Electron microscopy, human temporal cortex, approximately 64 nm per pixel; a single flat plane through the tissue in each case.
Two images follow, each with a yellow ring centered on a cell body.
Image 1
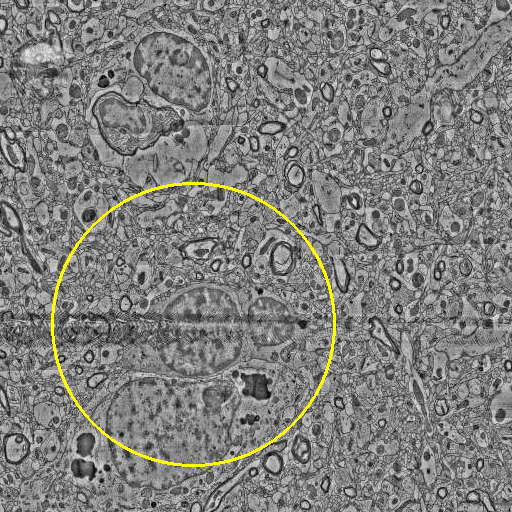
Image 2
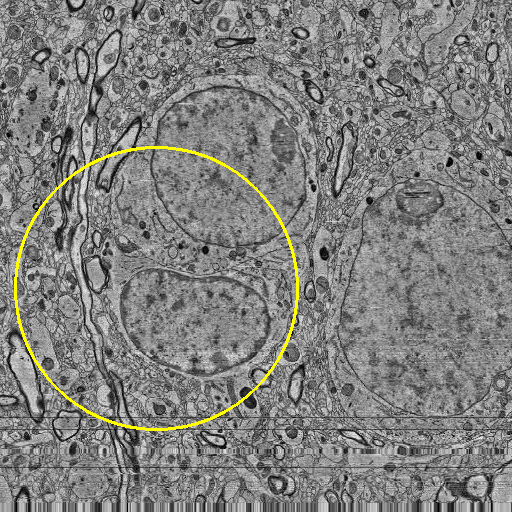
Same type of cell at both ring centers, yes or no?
no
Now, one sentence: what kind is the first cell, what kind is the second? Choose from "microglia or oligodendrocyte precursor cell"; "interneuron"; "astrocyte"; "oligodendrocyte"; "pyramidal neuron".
The first picture has an oligodendrocyte at its ring centre, and the second has a microglial cell or oligodendrocyte precursor cell.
